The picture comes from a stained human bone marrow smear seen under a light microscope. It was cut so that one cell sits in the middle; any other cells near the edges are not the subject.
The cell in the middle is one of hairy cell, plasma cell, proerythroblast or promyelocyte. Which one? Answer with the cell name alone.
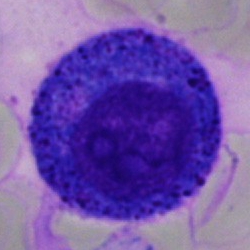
proerythroblast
